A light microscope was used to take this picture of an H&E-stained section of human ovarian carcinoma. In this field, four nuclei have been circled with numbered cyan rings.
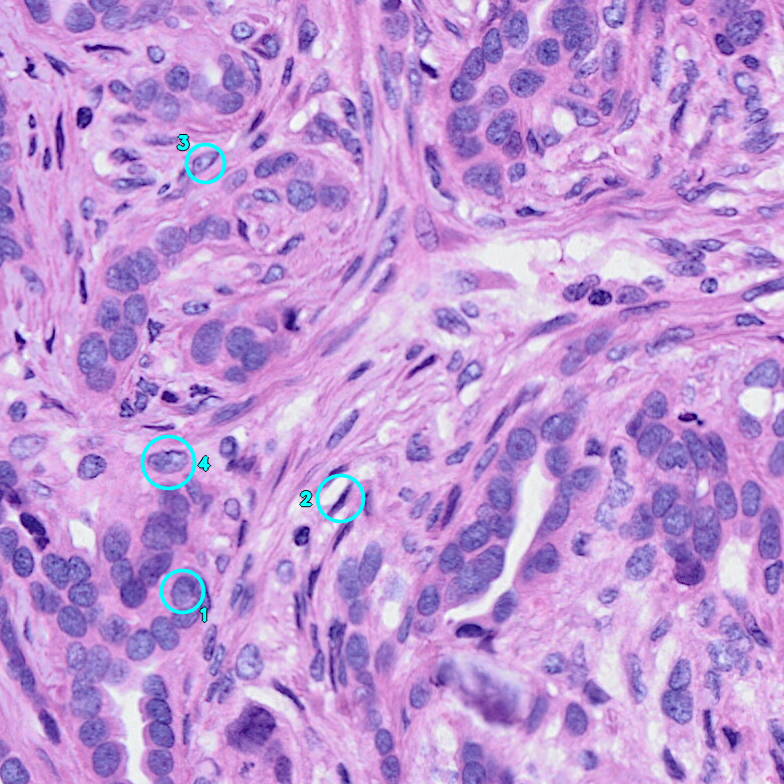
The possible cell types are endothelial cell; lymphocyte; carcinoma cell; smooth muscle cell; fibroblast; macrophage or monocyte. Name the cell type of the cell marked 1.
carcinoma cell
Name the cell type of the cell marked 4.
fibroblast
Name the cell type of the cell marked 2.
fibroblast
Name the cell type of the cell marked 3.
fibroblast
